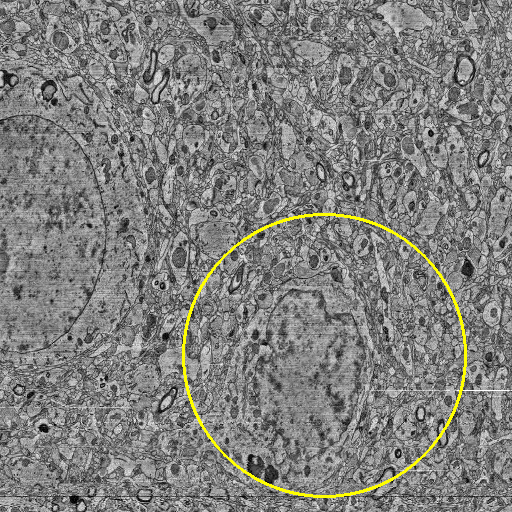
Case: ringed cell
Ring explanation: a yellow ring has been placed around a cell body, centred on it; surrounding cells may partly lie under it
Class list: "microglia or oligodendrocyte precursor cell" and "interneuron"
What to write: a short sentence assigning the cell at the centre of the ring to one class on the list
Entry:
The cell at the ring's centre is an interneuron.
